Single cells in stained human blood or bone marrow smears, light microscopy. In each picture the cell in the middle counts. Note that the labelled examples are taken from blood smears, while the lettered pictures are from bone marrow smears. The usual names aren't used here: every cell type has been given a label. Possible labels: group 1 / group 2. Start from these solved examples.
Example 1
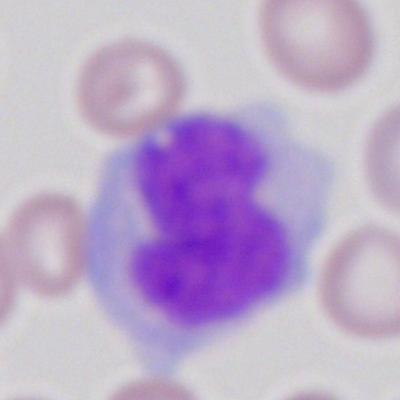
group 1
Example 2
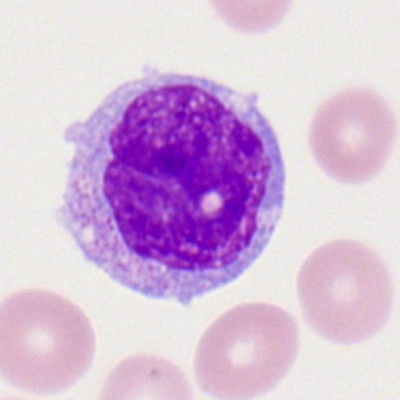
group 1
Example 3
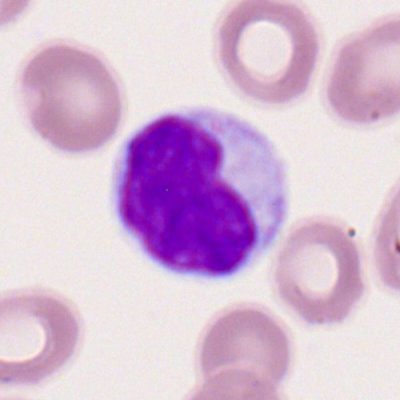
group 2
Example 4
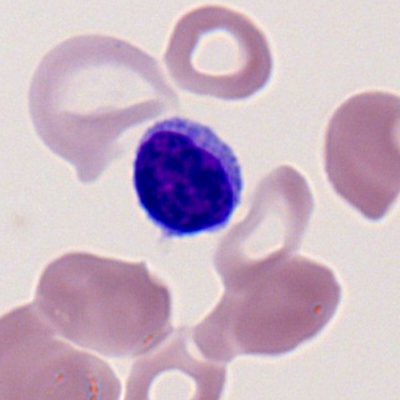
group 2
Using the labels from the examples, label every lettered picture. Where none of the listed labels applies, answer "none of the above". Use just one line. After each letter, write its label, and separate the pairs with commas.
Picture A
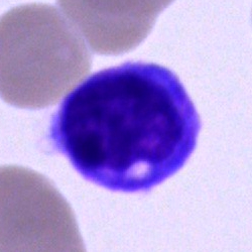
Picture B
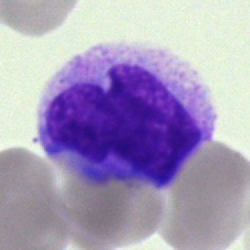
A group 1, B group 1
